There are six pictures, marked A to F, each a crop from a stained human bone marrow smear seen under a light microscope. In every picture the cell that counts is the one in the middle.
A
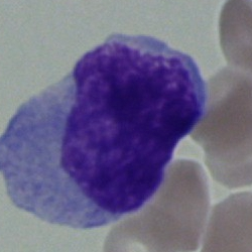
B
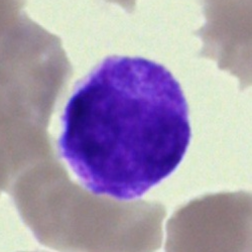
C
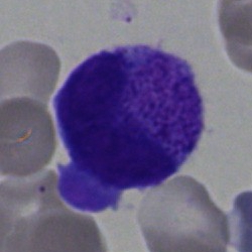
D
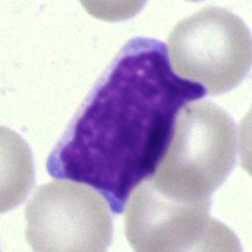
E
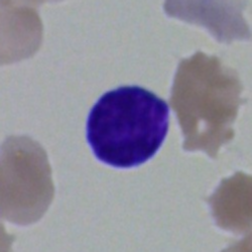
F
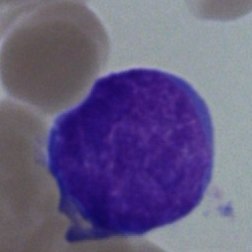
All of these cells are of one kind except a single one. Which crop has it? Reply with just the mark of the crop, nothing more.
E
